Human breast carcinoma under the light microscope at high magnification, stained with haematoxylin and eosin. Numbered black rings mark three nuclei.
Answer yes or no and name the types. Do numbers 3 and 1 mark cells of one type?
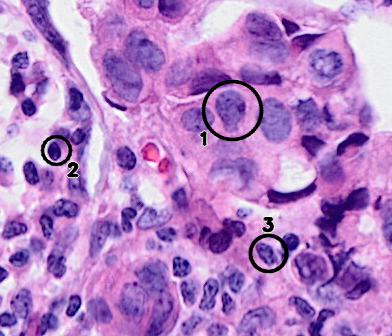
No, cell 3 is categorized as a lymphocyte, while cell 1 is categorized as a carcinoma cell.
